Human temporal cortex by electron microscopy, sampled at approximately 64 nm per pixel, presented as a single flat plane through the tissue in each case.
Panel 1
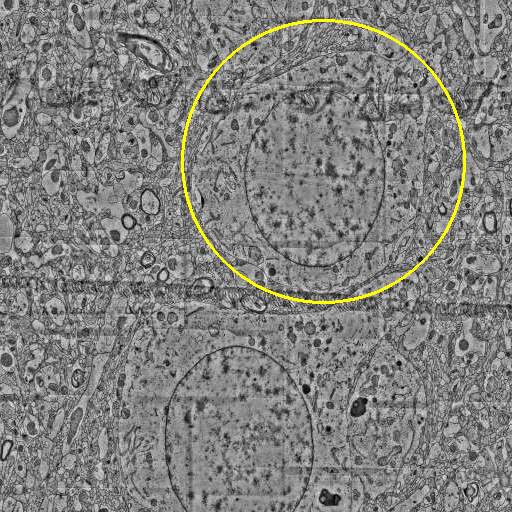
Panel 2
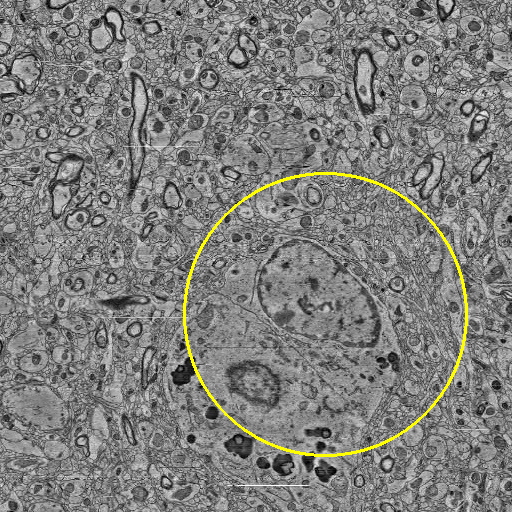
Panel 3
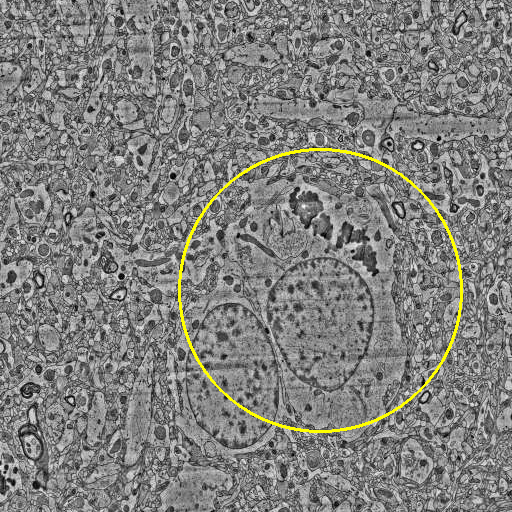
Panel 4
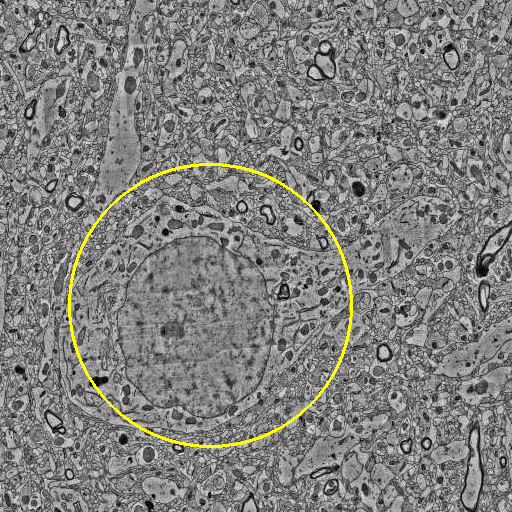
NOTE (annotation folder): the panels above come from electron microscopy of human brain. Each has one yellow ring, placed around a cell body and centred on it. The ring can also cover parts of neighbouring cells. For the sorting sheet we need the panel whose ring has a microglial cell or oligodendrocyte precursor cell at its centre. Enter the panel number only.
2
